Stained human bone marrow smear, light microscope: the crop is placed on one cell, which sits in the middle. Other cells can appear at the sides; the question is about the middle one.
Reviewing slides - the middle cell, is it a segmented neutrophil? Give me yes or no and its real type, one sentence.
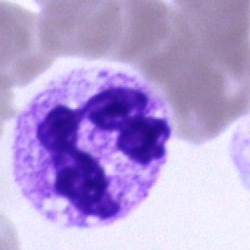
Yes, the cell that the crop is centered on is a segmented neutrophil.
